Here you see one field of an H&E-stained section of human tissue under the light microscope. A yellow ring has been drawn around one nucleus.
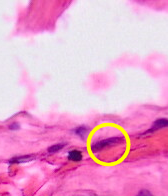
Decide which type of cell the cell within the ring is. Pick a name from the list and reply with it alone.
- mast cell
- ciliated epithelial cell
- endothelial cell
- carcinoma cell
endothelial cell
